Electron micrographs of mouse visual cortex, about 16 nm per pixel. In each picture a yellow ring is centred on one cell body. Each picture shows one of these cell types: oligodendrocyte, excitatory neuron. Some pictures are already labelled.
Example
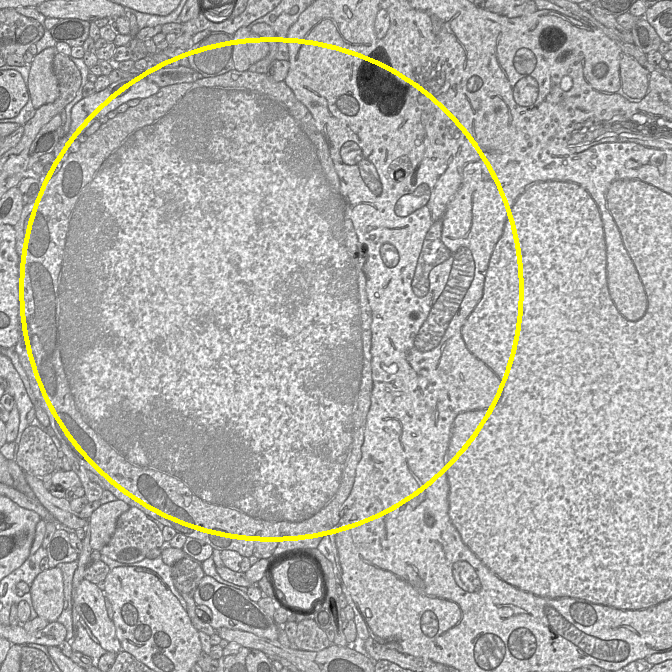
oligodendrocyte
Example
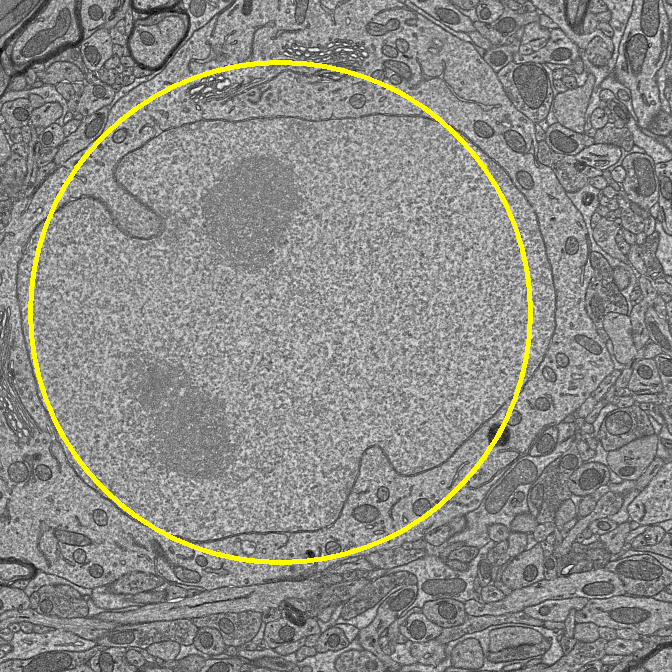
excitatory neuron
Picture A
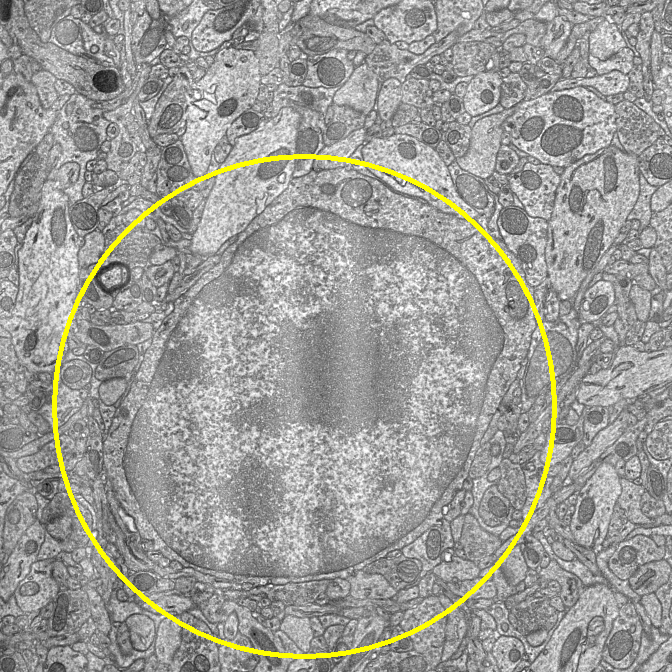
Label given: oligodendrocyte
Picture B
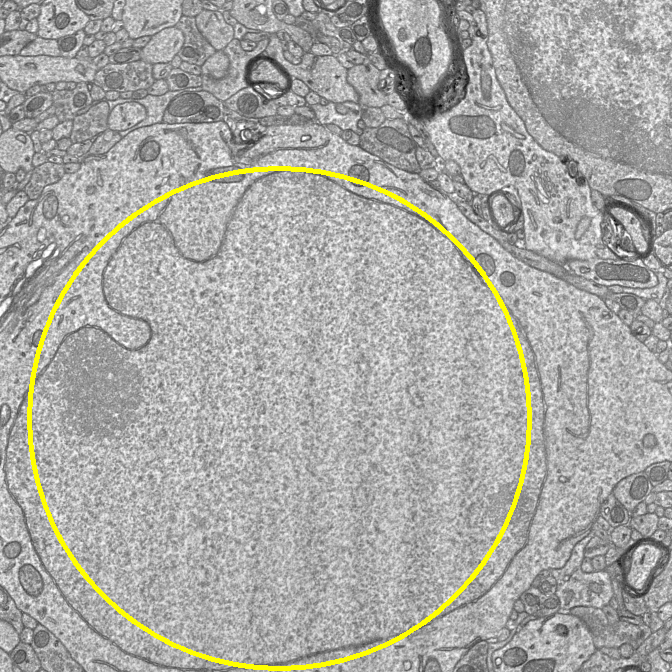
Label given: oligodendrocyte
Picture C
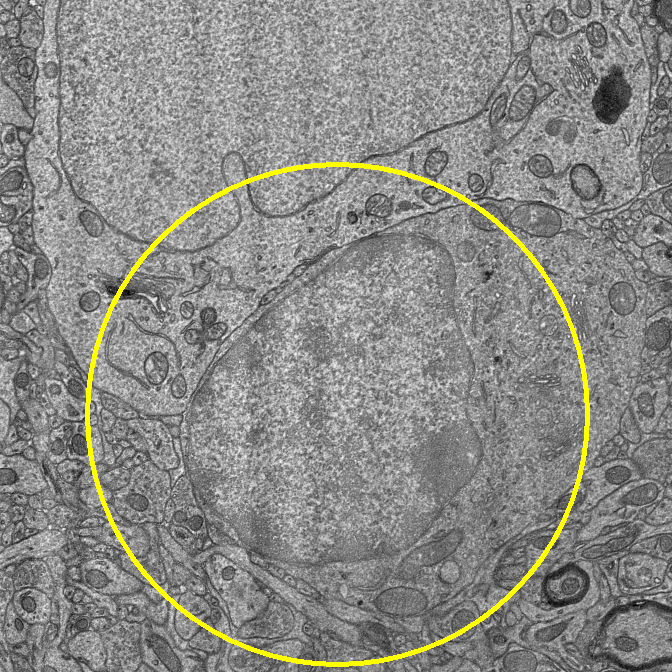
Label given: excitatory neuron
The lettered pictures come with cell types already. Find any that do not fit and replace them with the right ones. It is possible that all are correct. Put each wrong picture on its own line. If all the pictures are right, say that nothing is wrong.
B: excitatory neuron, not oligodendrocyte
C: oligodendrocyte, not excitatory neuron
